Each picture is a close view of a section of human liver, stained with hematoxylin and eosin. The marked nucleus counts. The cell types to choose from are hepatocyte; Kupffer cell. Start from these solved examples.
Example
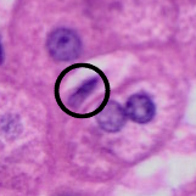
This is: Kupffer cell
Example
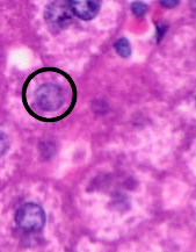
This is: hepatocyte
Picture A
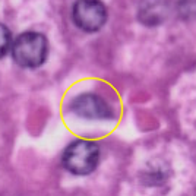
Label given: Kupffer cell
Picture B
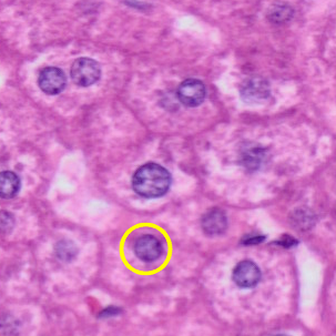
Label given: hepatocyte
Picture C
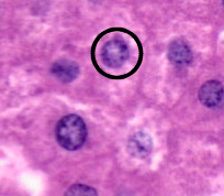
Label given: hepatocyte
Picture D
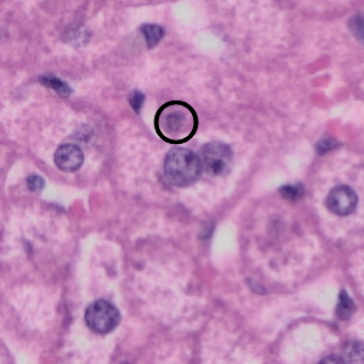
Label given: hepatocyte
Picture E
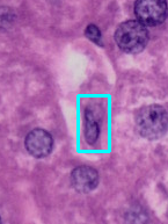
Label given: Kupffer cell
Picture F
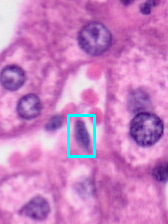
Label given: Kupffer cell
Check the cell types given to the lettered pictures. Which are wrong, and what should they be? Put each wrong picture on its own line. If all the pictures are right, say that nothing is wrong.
D is labelled hepatocyte; correct label: Kupffer cell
